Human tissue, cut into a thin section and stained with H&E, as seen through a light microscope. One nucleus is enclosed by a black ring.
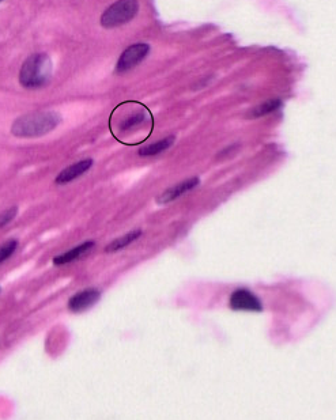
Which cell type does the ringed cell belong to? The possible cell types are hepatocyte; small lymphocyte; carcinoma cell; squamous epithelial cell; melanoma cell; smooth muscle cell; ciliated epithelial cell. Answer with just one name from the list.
squamous epithelial cell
